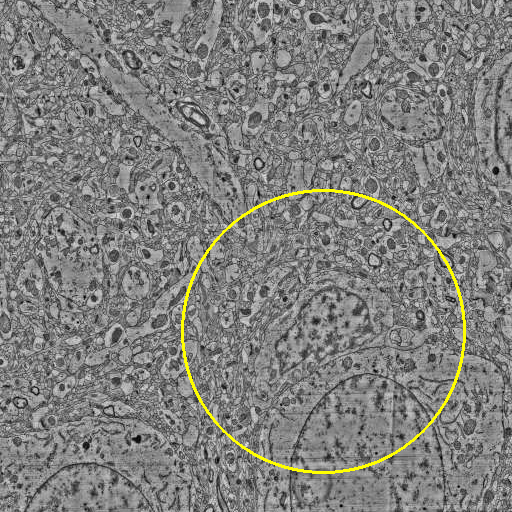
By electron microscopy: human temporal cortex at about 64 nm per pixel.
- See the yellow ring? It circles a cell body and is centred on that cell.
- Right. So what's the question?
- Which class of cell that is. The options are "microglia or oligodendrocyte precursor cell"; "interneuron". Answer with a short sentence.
The centre of the ring holds an interneuron.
